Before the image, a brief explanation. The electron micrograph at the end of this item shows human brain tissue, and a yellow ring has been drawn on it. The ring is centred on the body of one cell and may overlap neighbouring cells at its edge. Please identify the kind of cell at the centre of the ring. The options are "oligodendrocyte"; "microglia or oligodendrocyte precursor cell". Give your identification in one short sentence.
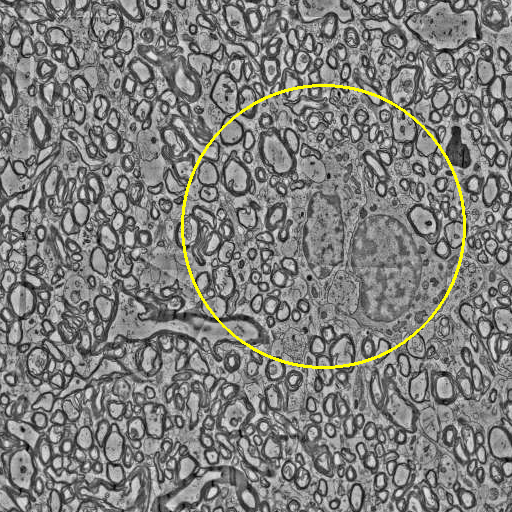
The ring has been placed around a microglial cell or oligodendrocyte precursor cell.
